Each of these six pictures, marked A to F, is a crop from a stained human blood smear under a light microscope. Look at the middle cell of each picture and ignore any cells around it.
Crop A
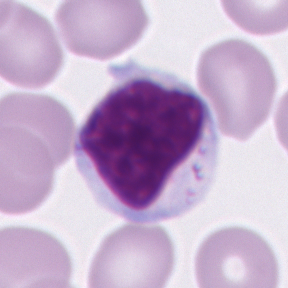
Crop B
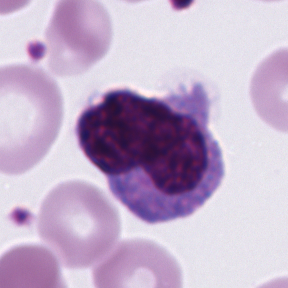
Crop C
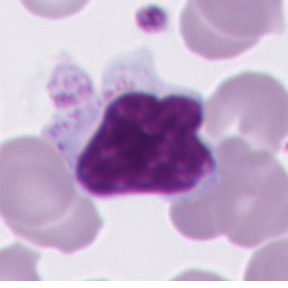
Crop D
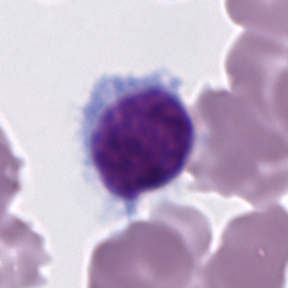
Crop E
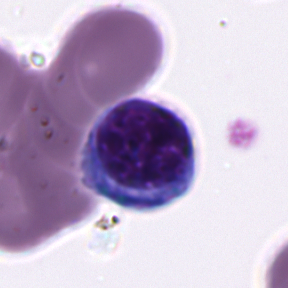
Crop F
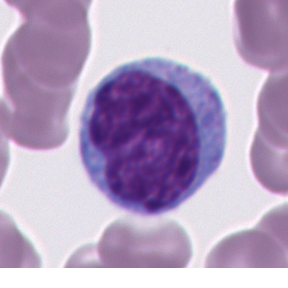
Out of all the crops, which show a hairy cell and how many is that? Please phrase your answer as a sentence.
Only a single crop shows a hairy cell, and that crop carries the label D.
